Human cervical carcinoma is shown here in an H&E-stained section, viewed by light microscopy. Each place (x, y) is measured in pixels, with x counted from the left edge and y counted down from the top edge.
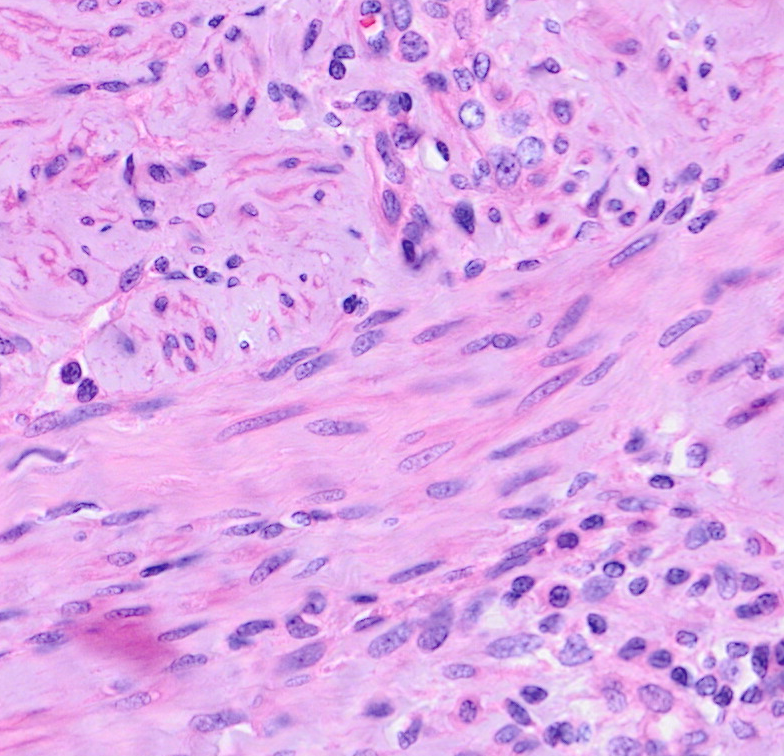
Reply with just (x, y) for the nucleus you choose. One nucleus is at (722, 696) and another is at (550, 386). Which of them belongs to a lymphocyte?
(722, 696)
